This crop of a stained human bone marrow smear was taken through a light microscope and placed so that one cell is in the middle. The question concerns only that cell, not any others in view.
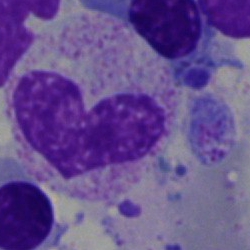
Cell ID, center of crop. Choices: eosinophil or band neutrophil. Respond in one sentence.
This crop has a band neutrophil at its centre.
